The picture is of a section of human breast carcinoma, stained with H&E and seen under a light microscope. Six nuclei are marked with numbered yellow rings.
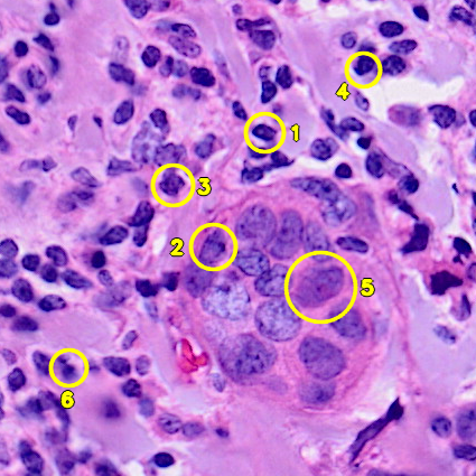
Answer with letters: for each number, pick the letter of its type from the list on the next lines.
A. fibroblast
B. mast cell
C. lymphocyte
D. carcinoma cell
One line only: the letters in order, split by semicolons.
C; D; C; C; D; C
